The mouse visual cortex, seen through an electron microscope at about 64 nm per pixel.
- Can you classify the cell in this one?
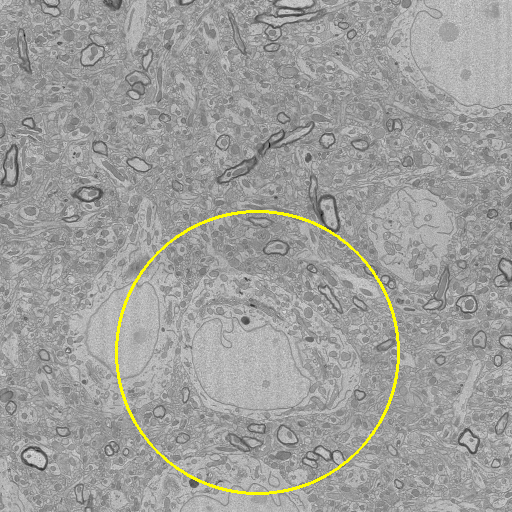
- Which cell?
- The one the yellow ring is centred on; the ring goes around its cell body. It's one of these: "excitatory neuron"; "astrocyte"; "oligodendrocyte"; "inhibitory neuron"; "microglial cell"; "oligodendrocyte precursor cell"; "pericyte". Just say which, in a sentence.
The cell body in the ring belongs to an inhibitory neuron.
